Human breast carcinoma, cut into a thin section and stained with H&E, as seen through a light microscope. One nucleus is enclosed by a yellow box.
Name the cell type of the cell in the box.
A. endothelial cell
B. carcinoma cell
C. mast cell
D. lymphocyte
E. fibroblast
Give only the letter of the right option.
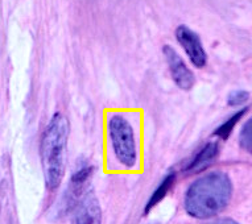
C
